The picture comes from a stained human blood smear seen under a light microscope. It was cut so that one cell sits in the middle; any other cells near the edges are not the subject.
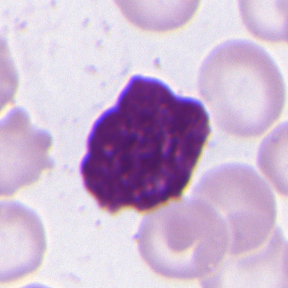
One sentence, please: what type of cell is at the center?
The cell featured at the centre of this crop is a smudge cell.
